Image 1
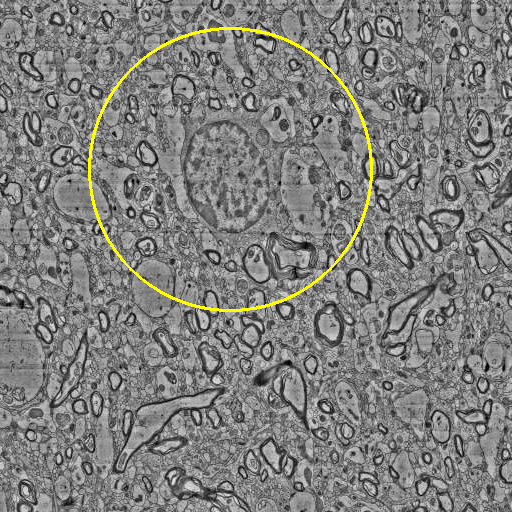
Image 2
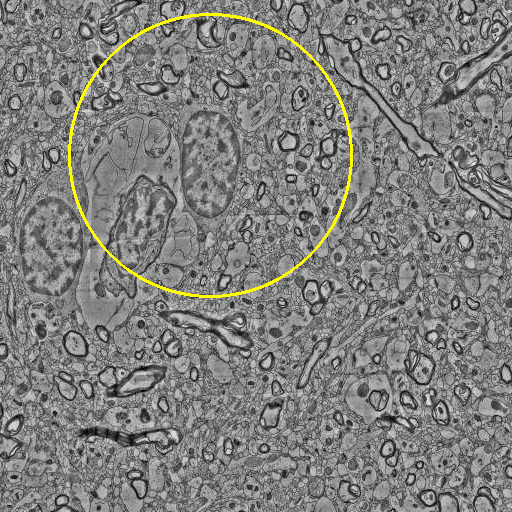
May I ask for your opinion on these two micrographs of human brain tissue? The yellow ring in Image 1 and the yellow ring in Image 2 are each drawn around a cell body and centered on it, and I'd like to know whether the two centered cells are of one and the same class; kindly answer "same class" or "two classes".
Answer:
same class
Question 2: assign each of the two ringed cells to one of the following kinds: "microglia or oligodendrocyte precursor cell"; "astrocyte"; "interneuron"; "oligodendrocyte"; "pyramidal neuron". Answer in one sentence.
Each of the two pictures has an oligodendrocyte at the ring centre.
